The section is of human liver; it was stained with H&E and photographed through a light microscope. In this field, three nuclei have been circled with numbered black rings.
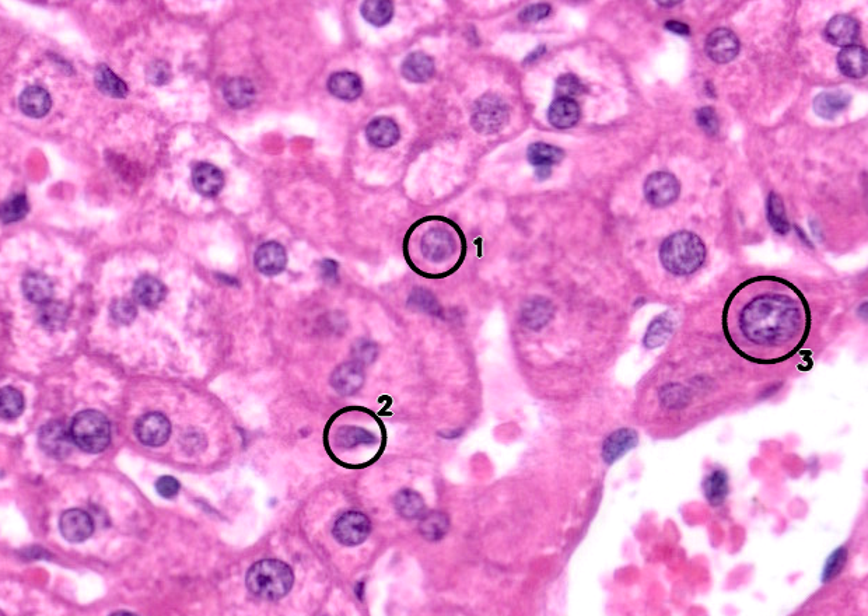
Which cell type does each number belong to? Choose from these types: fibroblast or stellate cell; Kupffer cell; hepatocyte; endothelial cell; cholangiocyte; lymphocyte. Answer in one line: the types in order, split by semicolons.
hepatocyte; Kupffer cell; hepatocyte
